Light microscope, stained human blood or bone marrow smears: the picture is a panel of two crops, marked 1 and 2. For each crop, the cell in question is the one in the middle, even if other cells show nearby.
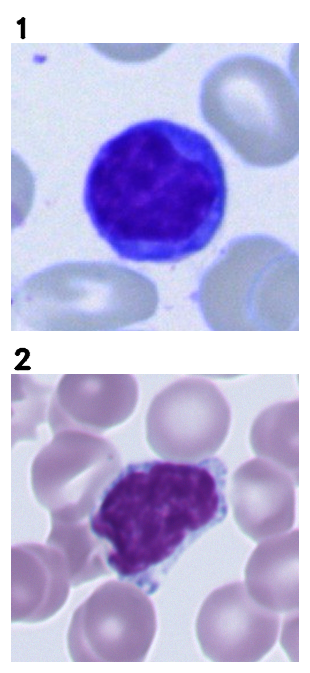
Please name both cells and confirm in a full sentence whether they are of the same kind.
Yes, the cells at the centre of the two crops are both lymphocytes.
